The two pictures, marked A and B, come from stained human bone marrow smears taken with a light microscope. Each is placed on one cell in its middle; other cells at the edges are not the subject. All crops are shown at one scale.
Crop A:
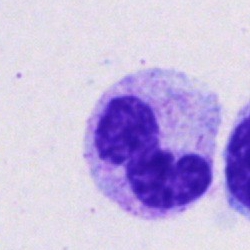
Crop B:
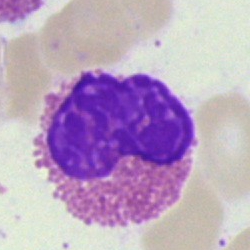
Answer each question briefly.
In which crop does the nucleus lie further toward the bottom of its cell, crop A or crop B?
A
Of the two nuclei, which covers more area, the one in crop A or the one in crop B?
B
